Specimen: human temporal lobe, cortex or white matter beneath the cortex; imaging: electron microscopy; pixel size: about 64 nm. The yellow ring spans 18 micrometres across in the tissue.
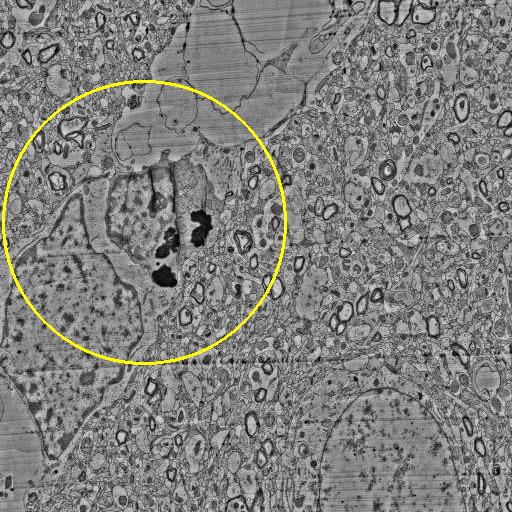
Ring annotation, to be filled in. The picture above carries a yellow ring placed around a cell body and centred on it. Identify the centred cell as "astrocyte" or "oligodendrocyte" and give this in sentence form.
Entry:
The cell in the middle of the ring is an oligodendrocyte.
